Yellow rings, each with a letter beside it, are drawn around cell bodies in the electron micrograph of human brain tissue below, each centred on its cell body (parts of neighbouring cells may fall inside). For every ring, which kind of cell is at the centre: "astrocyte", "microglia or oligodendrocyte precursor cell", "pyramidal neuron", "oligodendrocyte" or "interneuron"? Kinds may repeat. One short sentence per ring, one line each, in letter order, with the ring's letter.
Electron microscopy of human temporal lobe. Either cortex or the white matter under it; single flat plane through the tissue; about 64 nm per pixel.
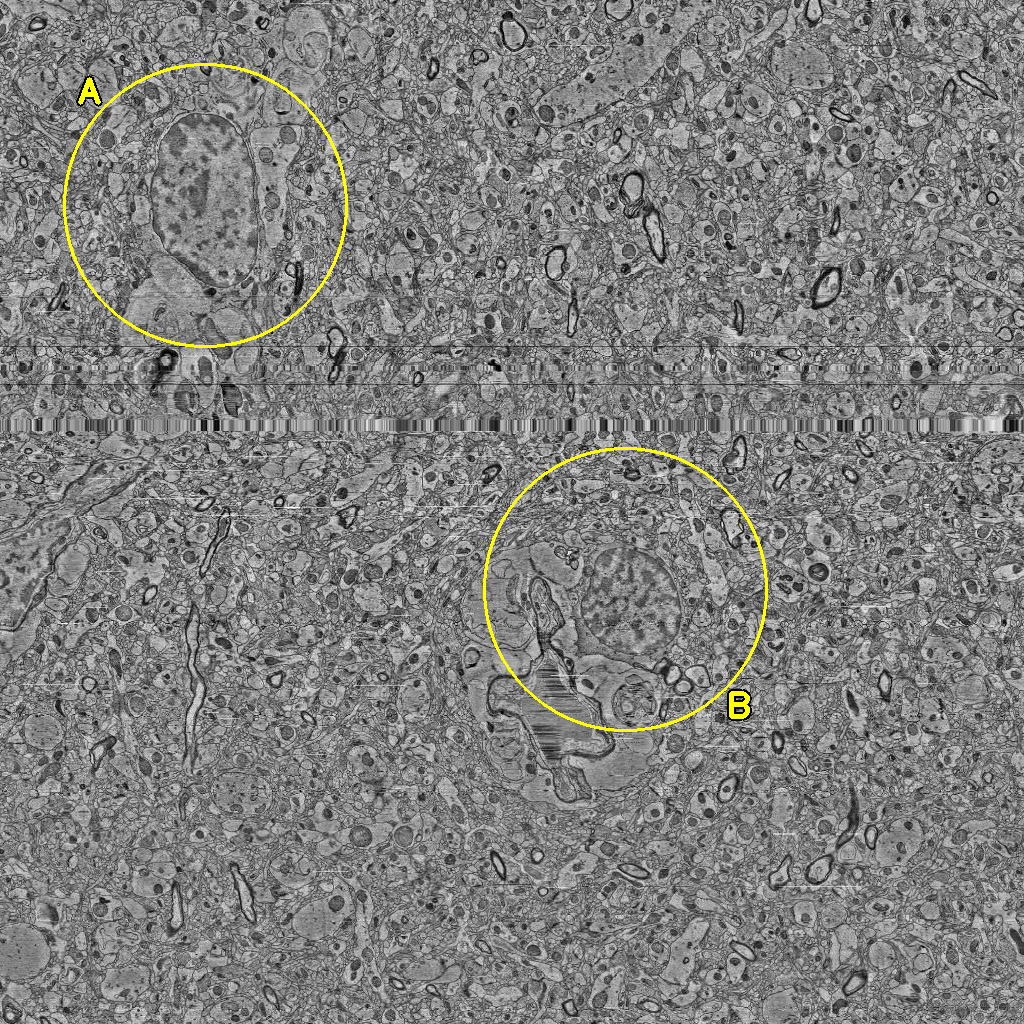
The cell in ring A is a microglial cell or oligodendrocyte precursor cell.
The cell in ring B is an oligodendrocyte.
